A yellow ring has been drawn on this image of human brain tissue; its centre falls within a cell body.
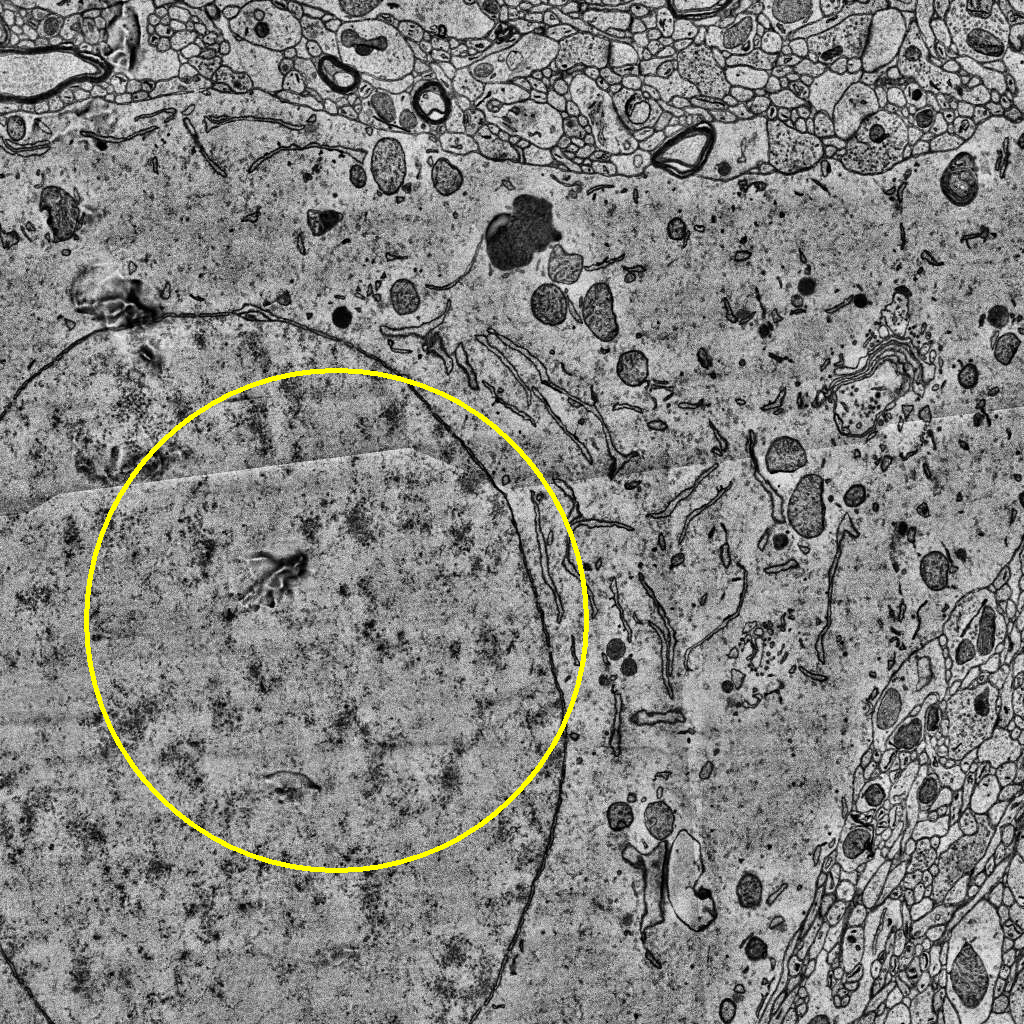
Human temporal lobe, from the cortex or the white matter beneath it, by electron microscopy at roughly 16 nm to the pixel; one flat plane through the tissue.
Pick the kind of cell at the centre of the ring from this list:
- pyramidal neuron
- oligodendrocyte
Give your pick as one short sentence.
The centre of the ring holds a pyramidal neuron.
